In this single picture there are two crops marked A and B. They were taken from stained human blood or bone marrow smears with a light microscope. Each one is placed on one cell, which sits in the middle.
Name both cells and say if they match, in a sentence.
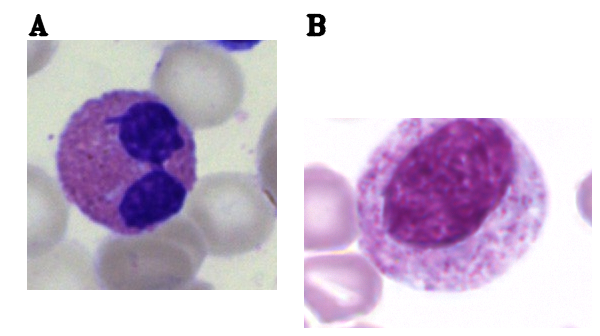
No, an eosinophil is what occupies crop A, and a myelocyte is what occupies crop B.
